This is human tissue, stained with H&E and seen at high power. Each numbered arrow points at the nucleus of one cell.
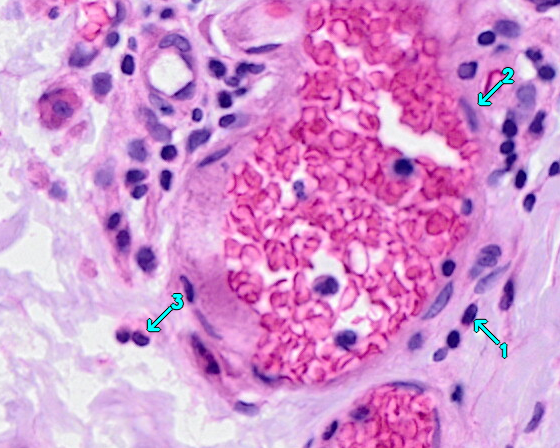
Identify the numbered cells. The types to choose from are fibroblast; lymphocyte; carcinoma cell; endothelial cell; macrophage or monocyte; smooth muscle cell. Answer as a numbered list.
1. lymphocyte
2. endothelial cell
3. lymphocyte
